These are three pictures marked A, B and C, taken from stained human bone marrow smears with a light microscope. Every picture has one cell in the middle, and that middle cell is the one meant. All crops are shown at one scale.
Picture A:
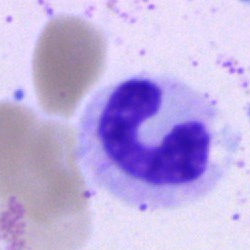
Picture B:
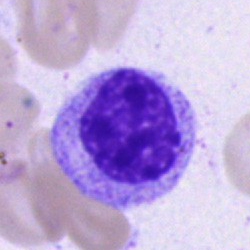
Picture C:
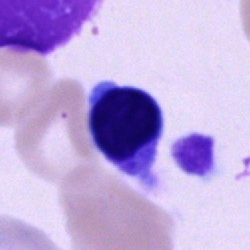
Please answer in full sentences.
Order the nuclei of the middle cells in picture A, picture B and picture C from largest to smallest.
From the largest down, the order is B, A, C.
